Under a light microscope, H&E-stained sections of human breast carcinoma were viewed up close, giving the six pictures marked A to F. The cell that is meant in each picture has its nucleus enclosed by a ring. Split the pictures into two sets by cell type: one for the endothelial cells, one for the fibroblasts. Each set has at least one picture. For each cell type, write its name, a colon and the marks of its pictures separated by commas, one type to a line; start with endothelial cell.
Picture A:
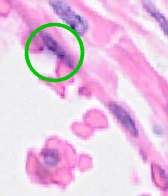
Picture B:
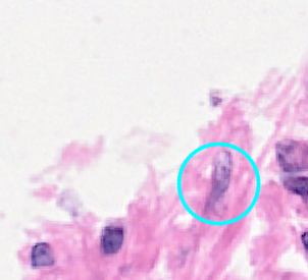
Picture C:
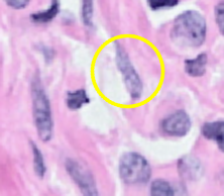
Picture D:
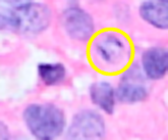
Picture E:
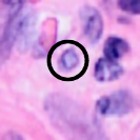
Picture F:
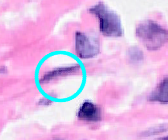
endothelial cell: A, D, E
fibroblast: B, C, F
